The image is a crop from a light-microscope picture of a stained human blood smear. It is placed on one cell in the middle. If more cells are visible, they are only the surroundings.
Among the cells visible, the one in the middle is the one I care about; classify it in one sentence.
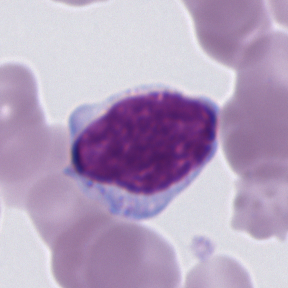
The centrally positioned cell in the crop represents a large granular lymphocyte.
